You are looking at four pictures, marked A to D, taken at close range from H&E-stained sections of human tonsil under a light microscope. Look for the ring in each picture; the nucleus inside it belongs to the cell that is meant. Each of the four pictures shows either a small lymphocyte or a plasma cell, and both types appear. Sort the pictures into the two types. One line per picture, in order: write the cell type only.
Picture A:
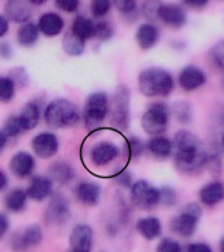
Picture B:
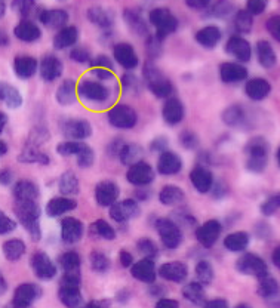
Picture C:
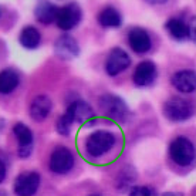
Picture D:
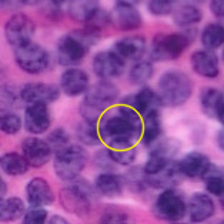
small lymphocyte
small lymphocyte
plasma cell
small lymphocyte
